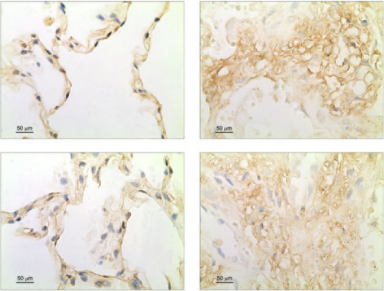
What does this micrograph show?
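Lung tissue in which the left images show thin alveolar septa lined by flat cells with small nuclei around open air spaces, with light brown stain along the walls. The right images show the air spaces replaced by dense tissue packed with rounded and irregular cells. There the brown stain fills the cytoplasm and outlines the cells widely across the field.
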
